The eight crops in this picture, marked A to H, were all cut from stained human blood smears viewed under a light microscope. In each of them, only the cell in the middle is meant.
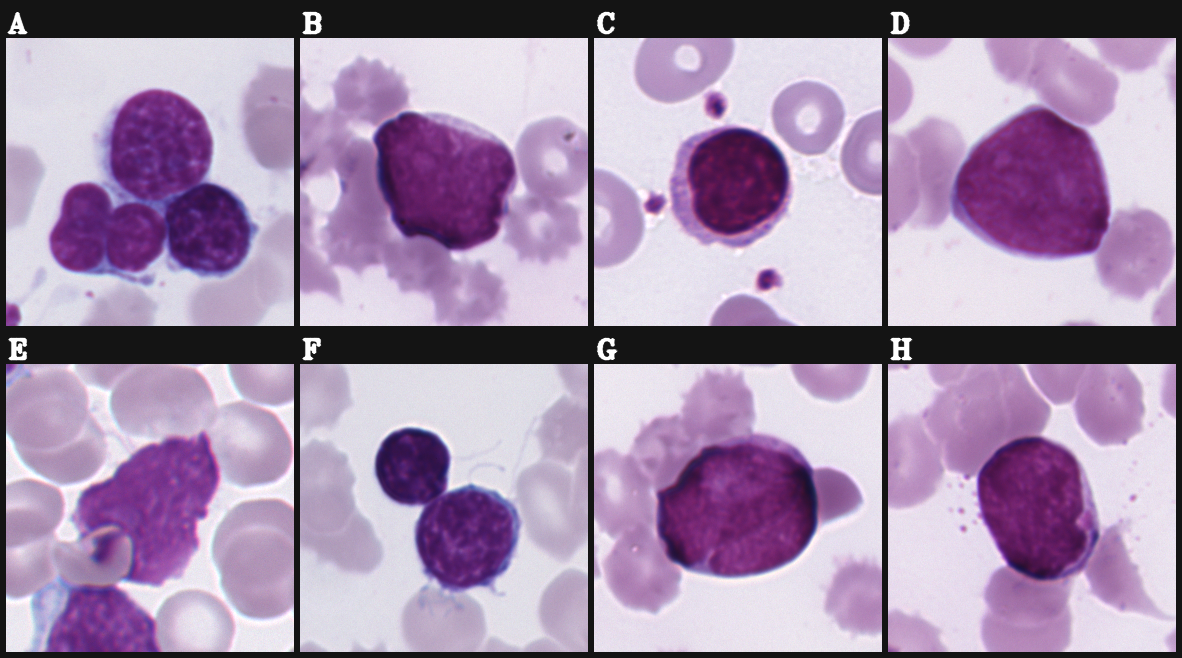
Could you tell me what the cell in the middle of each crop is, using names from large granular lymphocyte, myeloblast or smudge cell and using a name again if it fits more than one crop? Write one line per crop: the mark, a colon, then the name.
A: myeloblast
B: myeloblast
C: large granular lymphocyte
D: myeloblast
E: smudge cell
F: myeloblast
G: myeloblast
H: myeloblast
